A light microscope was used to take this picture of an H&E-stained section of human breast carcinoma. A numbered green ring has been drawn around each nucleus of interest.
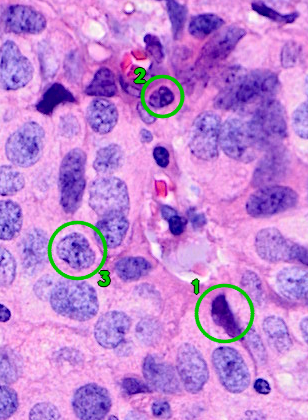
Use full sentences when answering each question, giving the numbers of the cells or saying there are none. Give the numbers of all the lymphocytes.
Cell 2 is a lymphocyte, while every other numbered cell is not.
